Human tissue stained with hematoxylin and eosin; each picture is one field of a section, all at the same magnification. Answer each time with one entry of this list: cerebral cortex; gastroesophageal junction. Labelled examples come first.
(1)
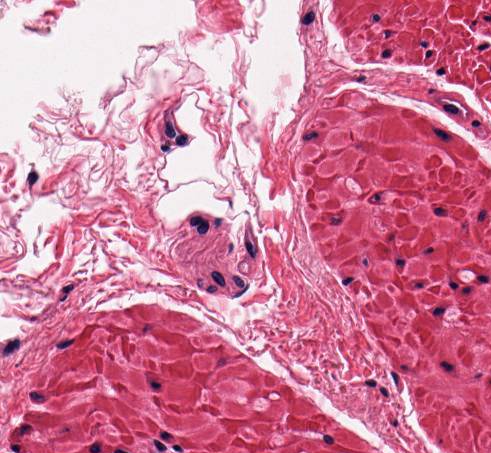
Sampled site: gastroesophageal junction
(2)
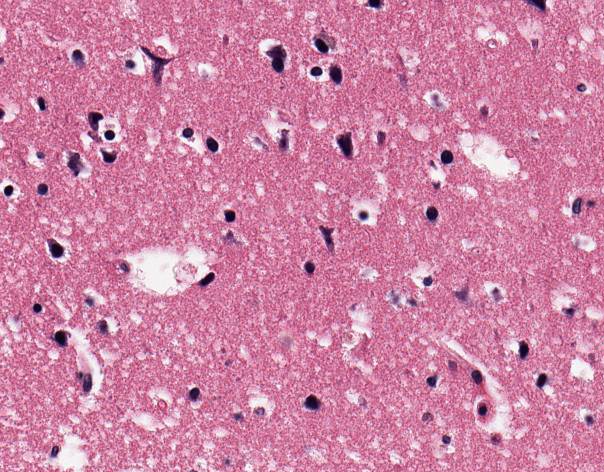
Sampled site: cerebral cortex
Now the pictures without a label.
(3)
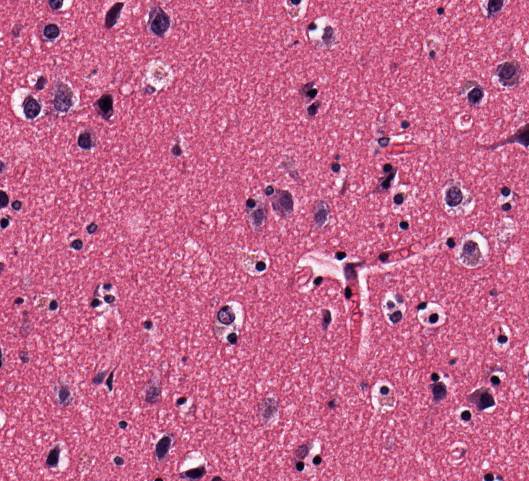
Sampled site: cerebral cortex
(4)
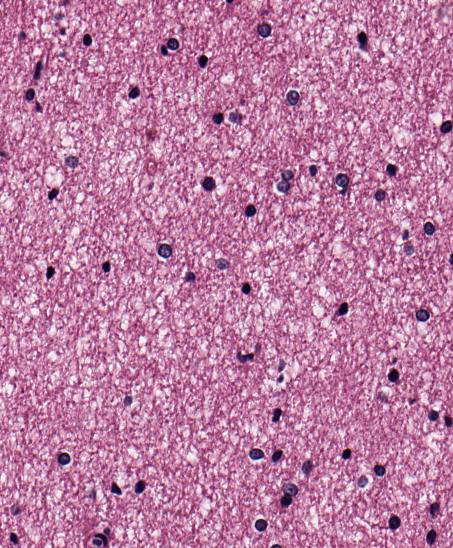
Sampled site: cerebral cortex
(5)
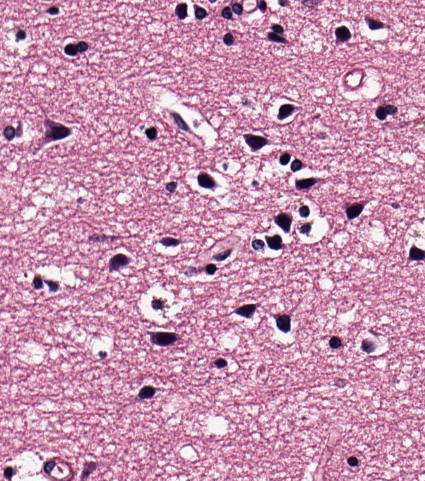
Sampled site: cerebral cortex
